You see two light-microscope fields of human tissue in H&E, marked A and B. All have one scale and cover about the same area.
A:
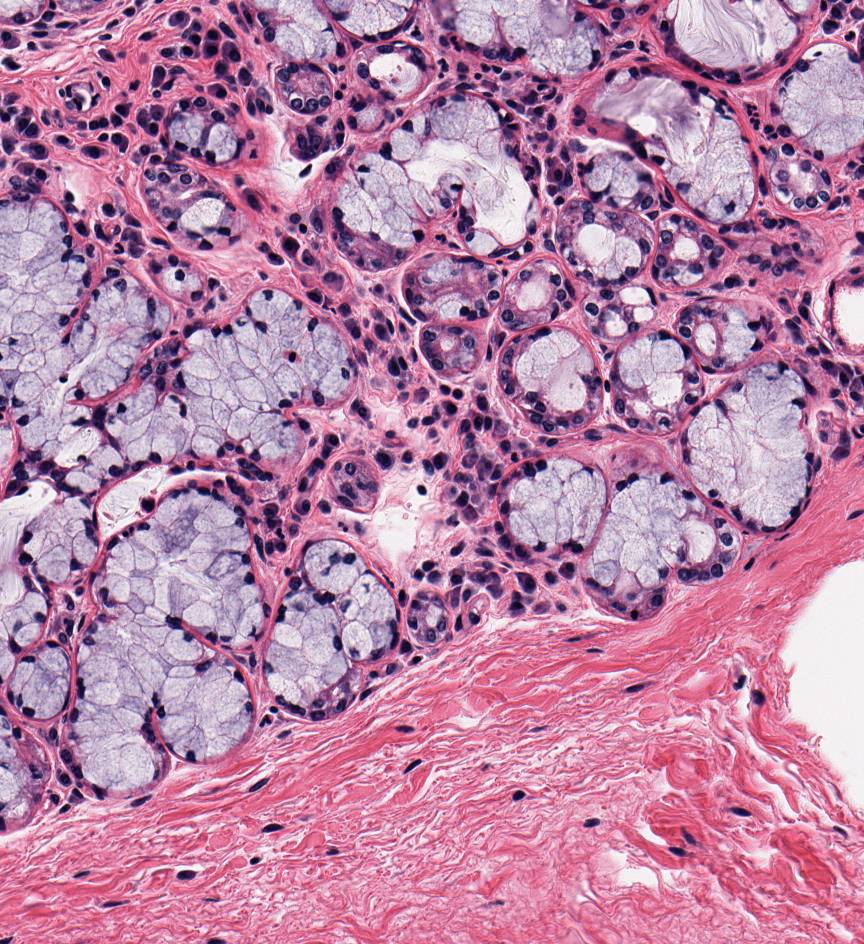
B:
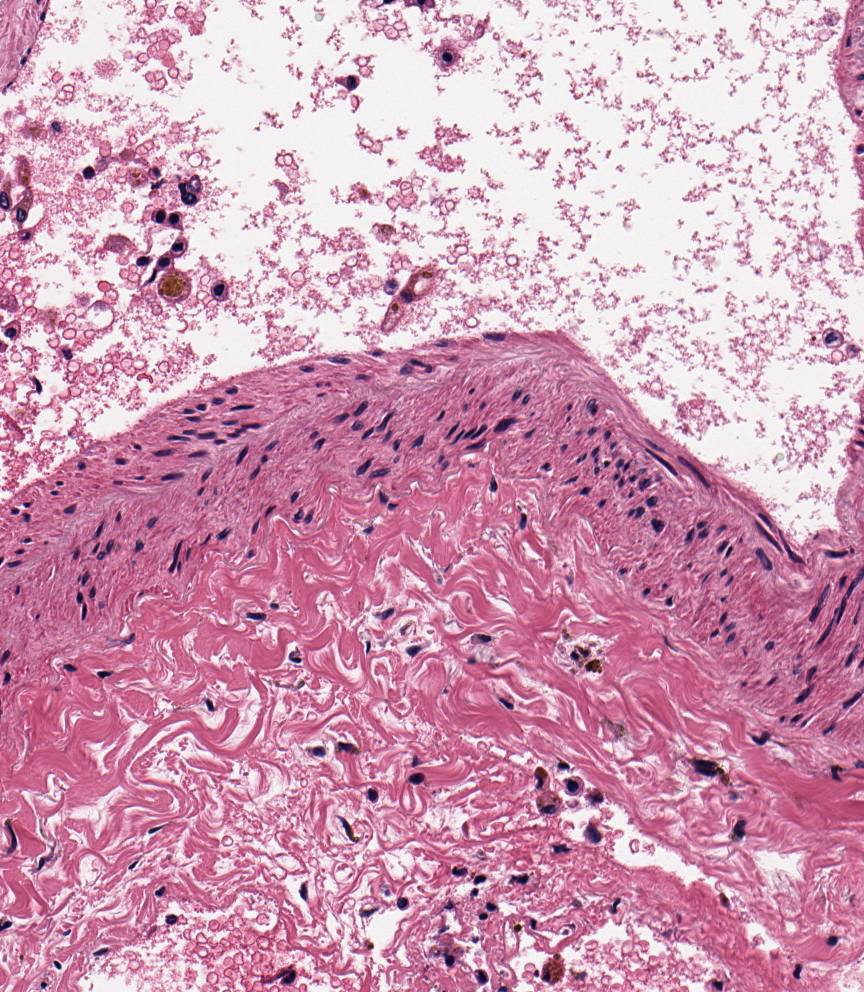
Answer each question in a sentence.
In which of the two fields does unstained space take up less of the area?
Less of field A is empty and white.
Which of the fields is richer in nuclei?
The larger number of nuclei is in field A.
